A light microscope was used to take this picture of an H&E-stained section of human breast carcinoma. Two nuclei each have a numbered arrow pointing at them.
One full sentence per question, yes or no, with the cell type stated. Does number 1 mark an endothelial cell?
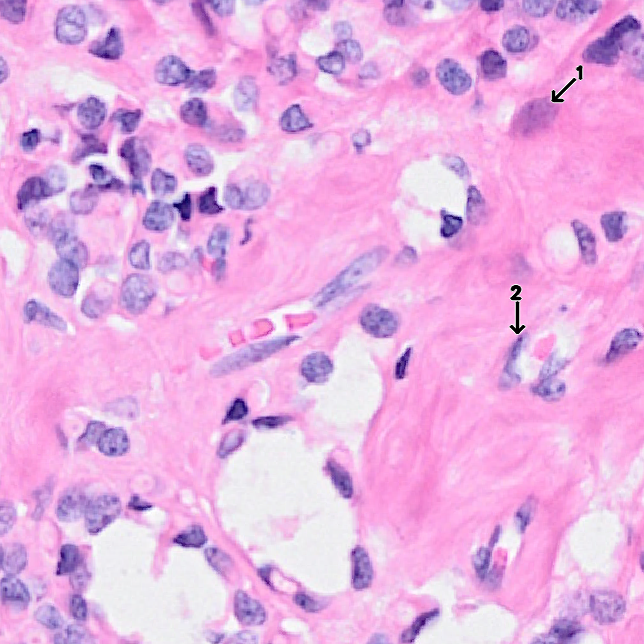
No, number 1 does not mark an endothelial cell; it marks a fibroblast.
